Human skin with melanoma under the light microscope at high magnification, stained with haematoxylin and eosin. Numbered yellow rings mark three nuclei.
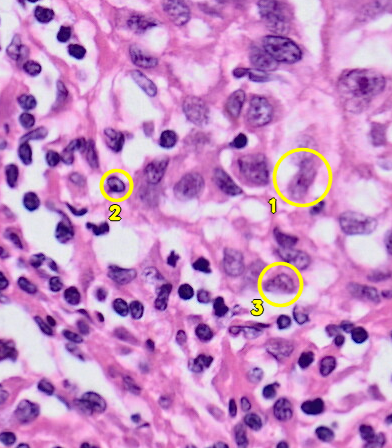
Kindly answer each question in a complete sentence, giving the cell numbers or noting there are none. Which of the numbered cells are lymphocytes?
Among the numbered cells, the one that is a lymphocyte is cell 2 alone.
